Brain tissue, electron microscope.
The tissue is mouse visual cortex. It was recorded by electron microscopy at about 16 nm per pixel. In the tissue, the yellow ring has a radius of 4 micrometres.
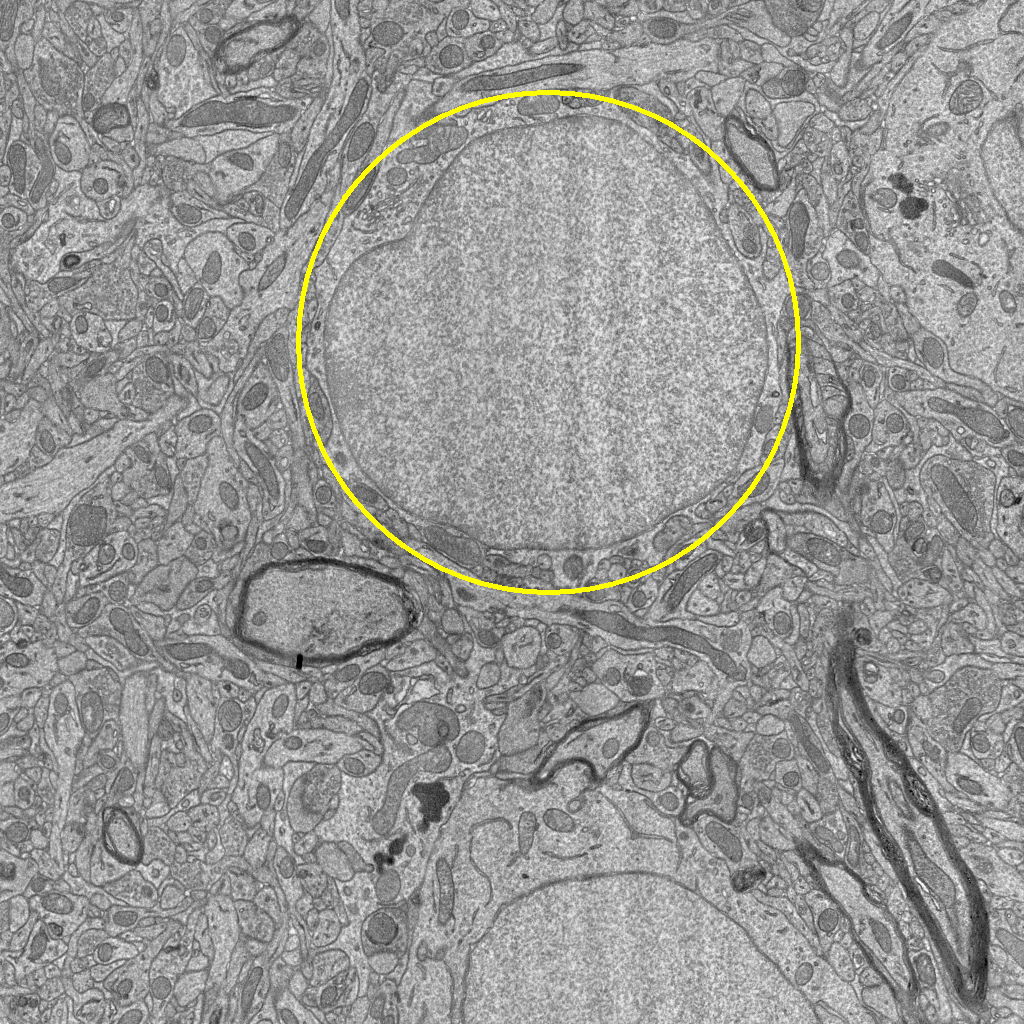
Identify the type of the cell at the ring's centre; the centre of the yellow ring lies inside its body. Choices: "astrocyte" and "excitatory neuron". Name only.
astrocyte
